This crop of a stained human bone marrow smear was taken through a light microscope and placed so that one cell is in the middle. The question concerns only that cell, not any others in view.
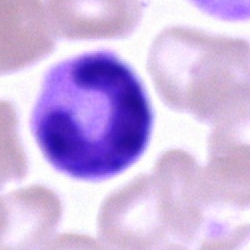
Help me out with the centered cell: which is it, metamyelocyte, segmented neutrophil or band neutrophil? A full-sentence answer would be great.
The crop centres on a single cell, and that cell is a band neutrophil.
